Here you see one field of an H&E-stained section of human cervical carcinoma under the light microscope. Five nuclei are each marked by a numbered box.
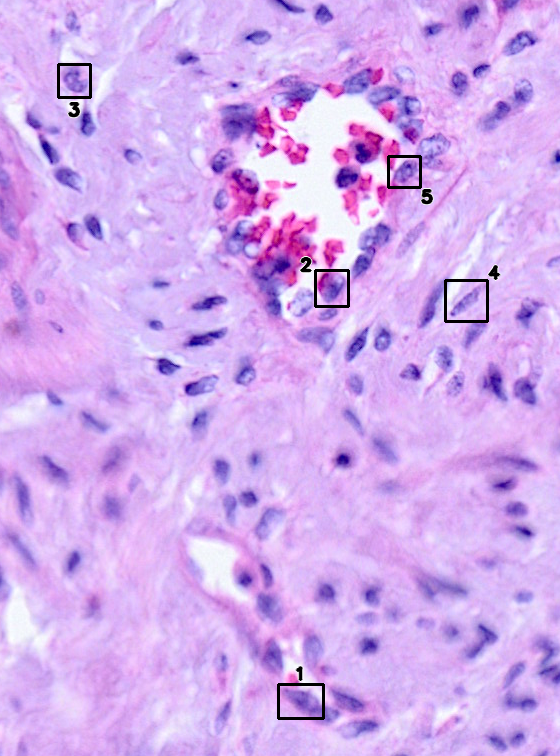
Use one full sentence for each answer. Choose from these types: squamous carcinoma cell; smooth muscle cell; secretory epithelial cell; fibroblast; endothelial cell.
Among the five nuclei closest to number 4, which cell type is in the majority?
Around number 4, most of the five nearest nuclei are those of fibroblasts.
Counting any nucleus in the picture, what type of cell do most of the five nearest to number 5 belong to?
Most of the five nuclei nearest to number 5 are those of endothelial cells.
